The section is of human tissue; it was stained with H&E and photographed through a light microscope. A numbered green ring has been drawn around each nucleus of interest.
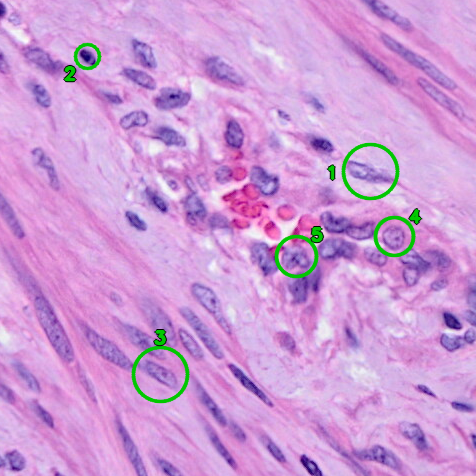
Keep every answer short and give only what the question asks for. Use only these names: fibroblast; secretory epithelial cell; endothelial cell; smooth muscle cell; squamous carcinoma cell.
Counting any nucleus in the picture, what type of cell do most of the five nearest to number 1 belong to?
endothelial cell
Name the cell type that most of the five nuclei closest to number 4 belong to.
endothelial cell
